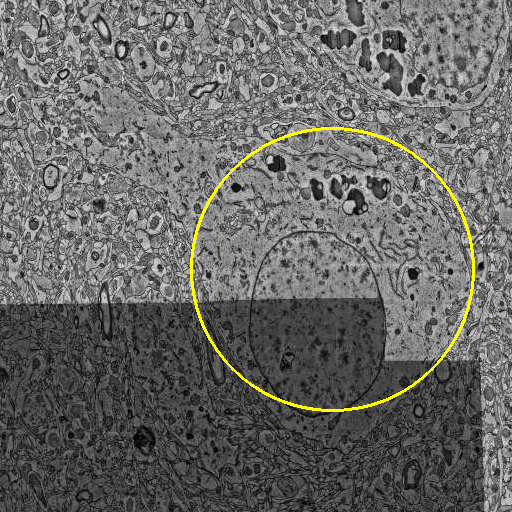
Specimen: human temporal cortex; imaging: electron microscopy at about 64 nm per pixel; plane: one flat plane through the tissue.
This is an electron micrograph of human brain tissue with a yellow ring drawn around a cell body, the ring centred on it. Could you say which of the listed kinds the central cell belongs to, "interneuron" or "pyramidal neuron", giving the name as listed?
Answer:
pyramidal neuron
